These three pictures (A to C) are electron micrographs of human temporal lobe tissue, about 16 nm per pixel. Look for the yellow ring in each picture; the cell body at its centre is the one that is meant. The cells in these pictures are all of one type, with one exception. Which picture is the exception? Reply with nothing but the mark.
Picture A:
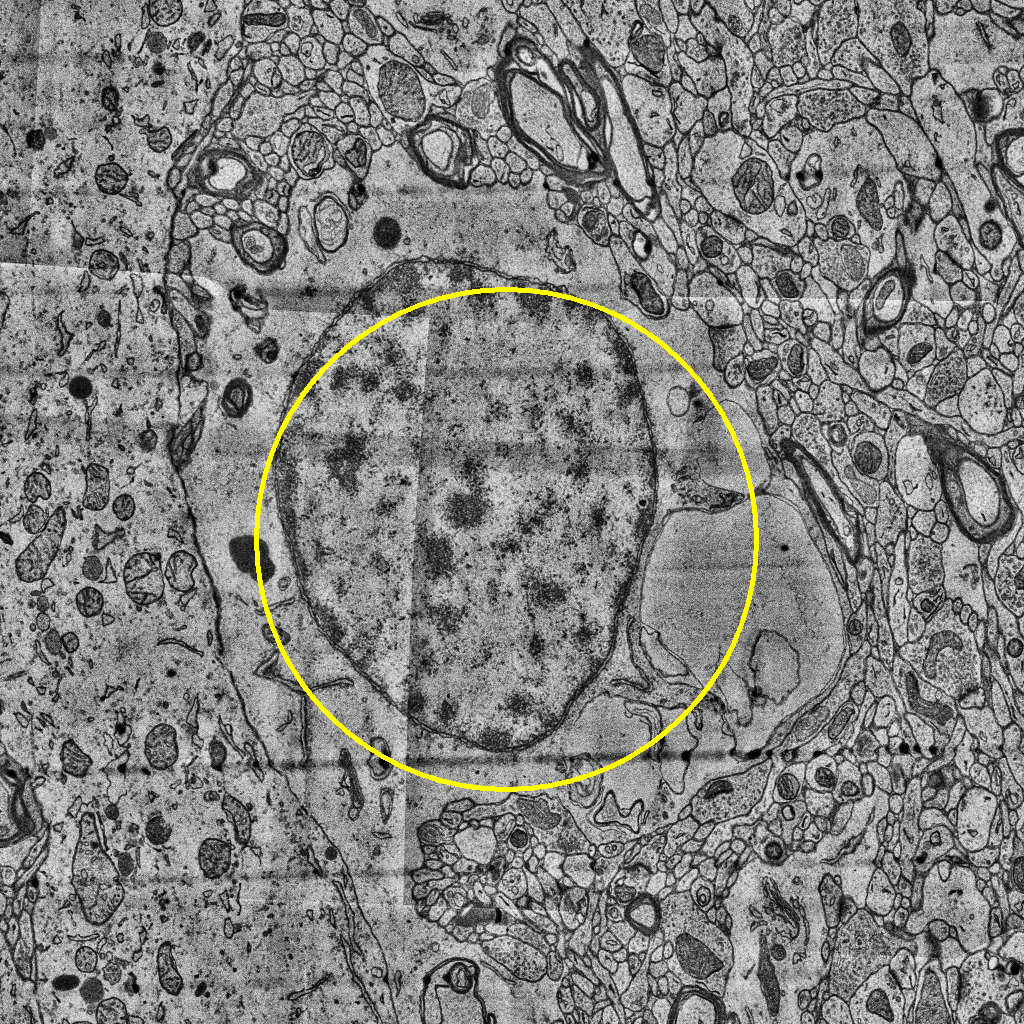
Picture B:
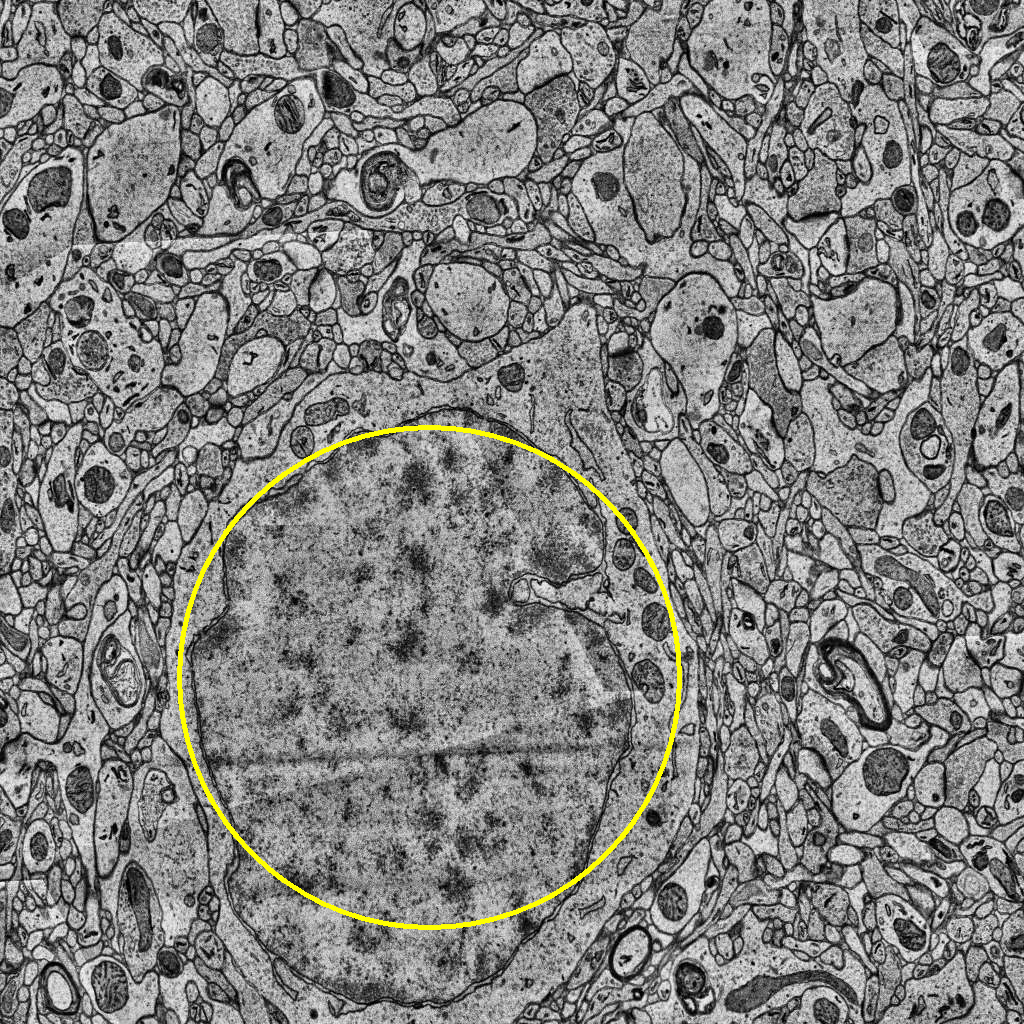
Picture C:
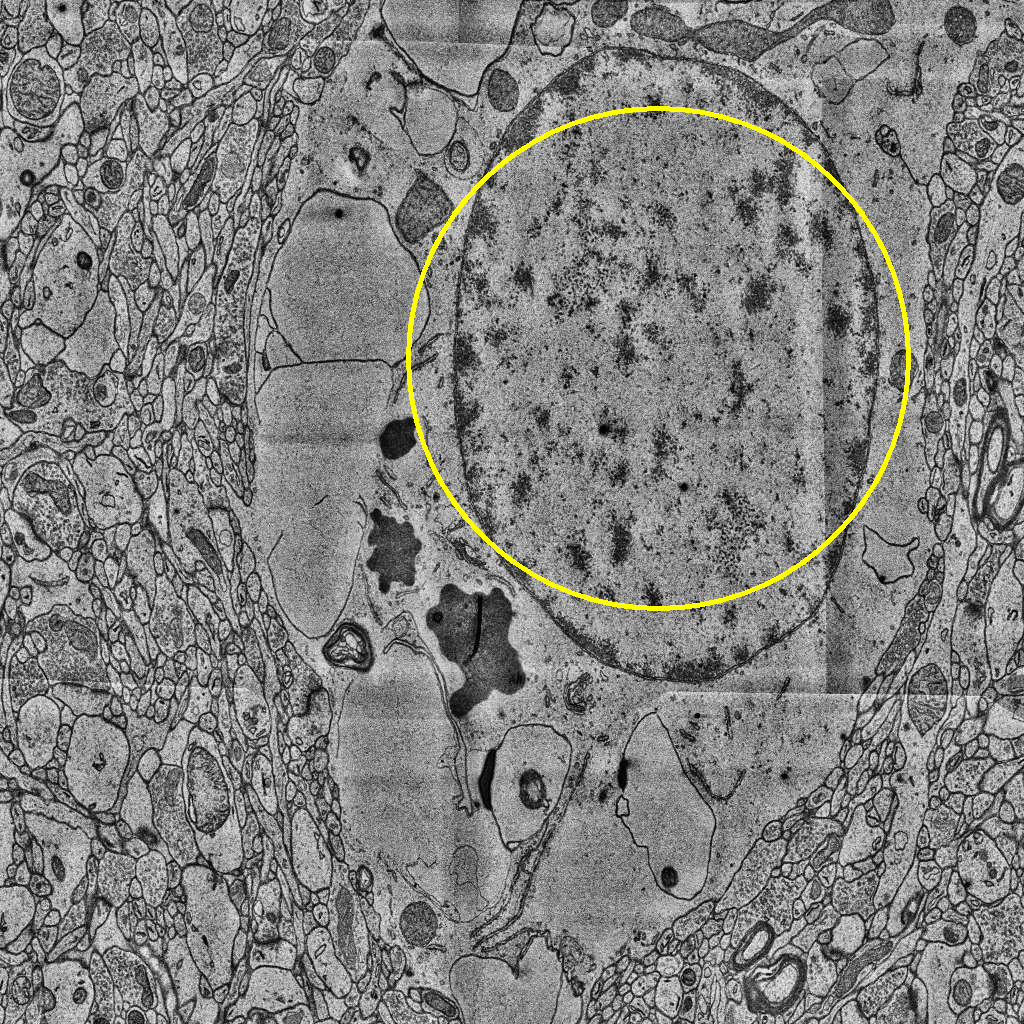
B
